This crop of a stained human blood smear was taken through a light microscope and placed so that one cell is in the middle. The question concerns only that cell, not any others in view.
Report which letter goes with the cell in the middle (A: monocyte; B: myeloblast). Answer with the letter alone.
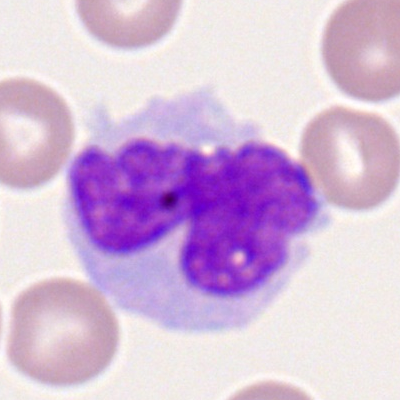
A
